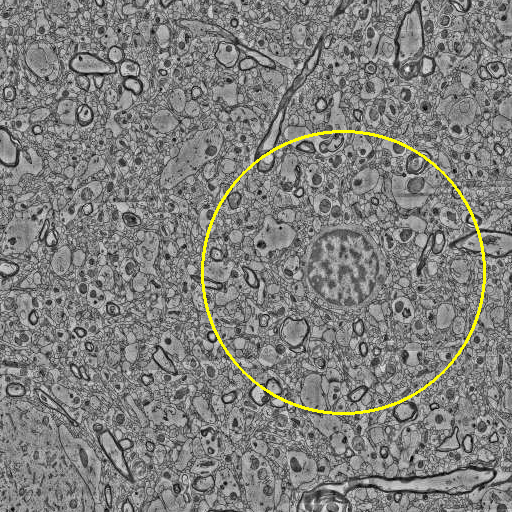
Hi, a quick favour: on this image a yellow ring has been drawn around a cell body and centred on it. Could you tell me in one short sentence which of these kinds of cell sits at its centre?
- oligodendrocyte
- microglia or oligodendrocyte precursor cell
The ring is centred on an oligodendrocyte.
